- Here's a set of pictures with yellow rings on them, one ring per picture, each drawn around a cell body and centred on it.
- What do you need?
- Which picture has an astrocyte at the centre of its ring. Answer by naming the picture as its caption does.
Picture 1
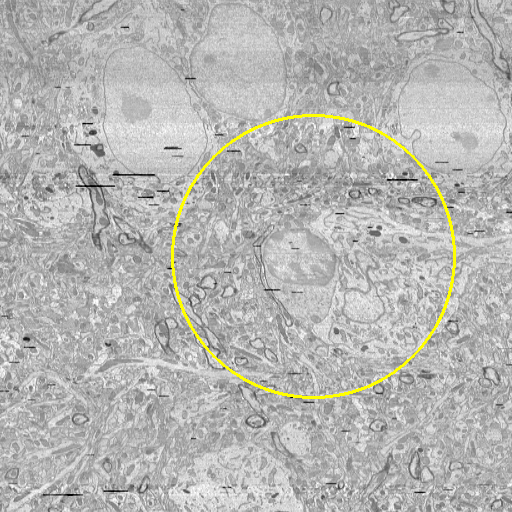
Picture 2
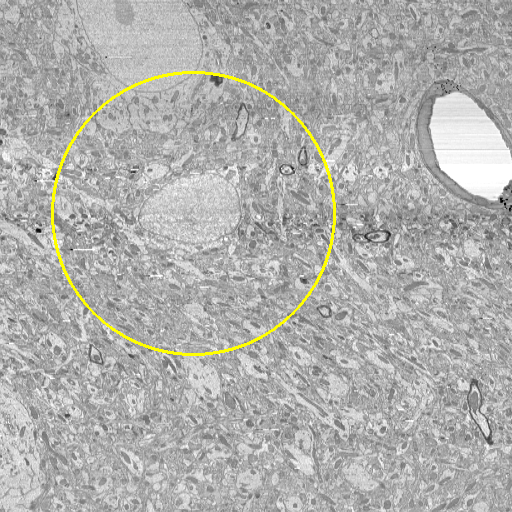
Picture 2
